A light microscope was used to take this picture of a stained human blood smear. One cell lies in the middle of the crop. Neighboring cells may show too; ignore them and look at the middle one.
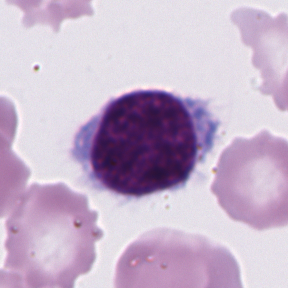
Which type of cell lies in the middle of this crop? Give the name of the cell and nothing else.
hairy cell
